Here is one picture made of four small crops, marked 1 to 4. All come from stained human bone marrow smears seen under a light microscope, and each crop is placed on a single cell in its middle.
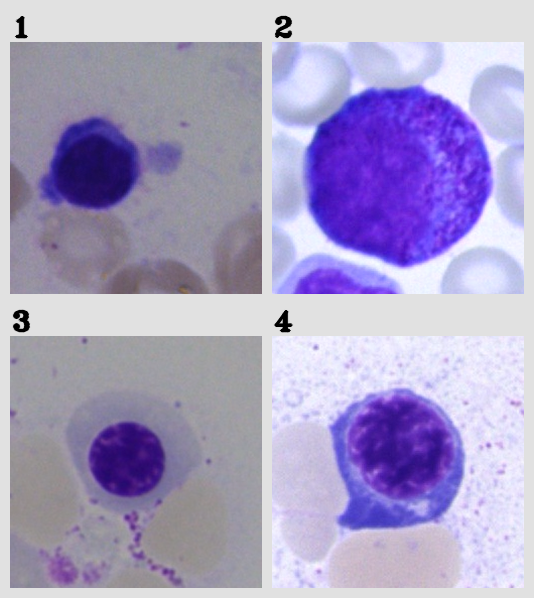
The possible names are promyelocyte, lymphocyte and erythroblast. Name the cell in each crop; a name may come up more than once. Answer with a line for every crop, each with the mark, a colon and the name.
1: lymphocyte
2: promyelocyte
3: erythroblast
4: erythroblast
